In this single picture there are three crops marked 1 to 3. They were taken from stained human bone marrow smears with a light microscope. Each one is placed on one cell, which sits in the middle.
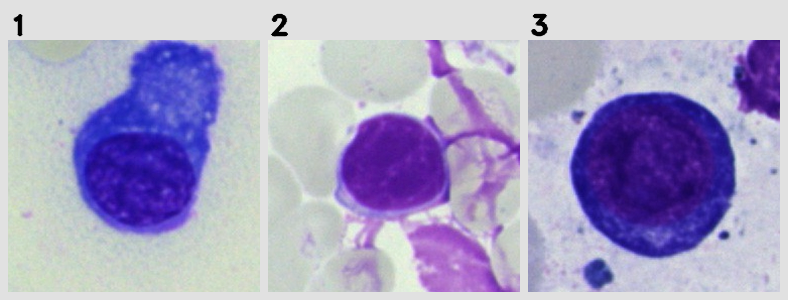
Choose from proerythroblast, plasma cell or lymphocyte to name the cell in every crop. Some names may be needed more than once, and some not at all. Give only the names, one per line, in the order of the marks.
plasma cell
lymphocyte
proerythroblast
